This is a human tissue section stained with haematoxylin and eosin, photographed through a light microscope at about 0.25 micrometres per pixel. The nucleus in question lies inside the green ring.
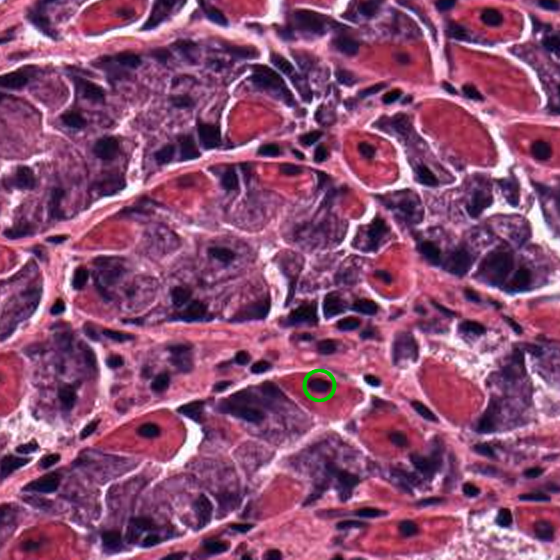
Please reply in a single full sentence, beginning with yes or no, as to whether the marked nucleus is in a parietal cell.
Yes, belonging to a parietal cell is the marked nucleus.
